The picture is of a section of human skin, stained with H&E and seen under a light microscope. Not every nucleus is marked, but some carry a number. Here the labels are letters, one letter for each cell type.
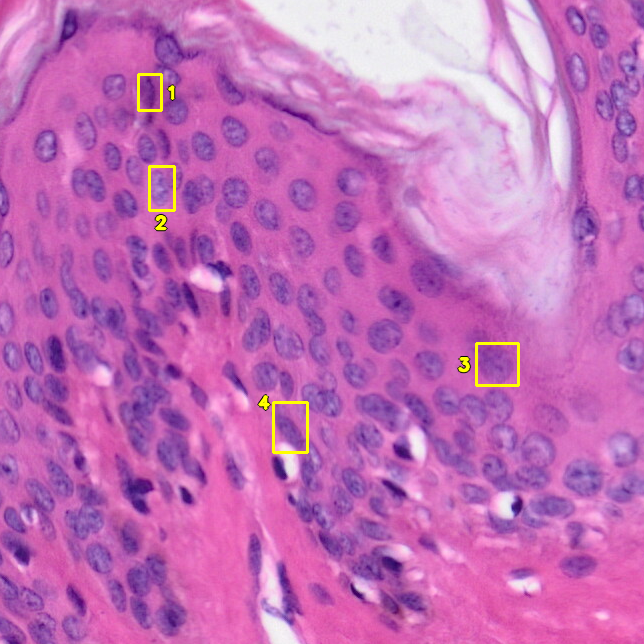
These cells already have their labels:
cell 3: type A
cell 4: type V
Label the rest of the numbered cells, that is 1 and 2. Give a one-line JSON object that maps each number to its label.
{"1": "type A", "2": "type A"}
